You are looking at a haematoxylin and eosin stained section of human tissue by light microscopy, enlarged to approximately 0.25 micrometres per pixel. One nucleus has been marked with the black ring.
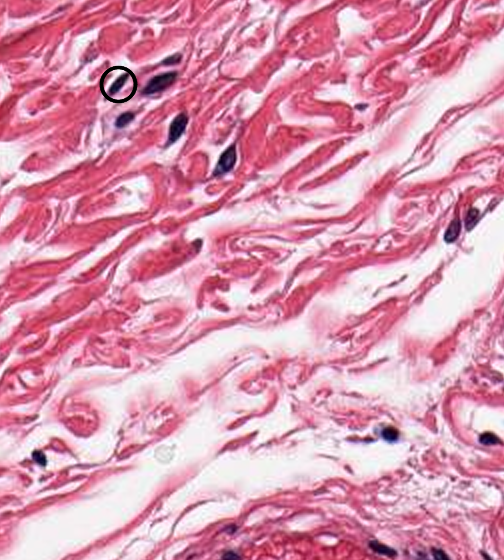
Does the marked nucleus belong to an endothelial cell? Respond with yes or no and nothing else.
no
